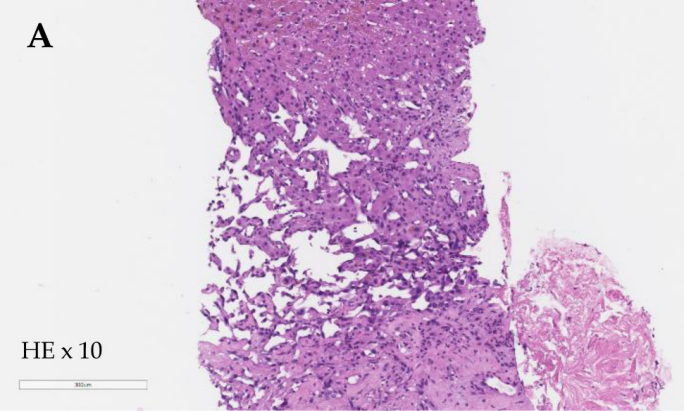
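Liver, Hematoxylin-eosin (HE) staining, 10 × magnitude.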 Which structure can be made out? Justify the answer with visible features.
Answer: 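Solid, sinusoidal structures. Cells form solid sheets in parts of the fragment. Elsewhere cells line loose, open, anastomosing spaces.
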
